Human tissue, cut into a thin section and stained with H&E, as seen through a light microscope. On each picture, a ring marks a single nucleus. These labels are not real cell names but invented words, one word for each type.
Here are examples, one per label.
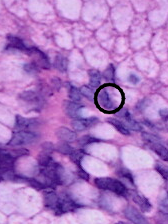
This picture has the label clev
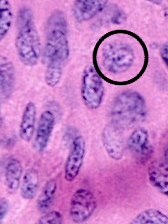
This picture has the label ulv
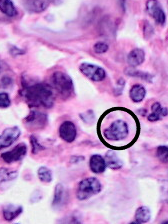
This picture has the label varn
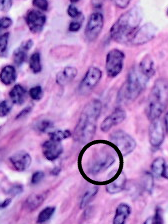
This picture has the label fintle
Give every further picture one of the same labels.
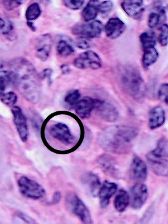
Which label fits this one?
varn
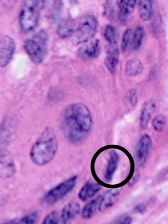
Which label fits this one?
ulv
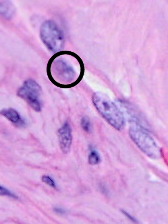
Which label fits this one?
fintle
